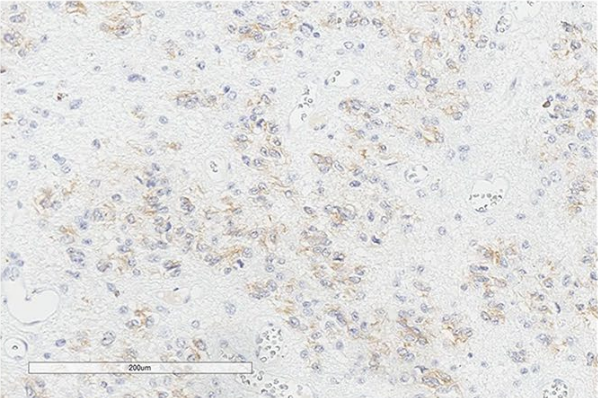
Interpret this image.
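This is the same cellular glial tumor tissue, with many round blue nuclei scattered in a pale background. Brown stain lies in the cytoplasm and fine processes around many of the tumor cells, in patchy clusters across the field. Several small vessels with red blood cells appear as clear round spaces.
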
